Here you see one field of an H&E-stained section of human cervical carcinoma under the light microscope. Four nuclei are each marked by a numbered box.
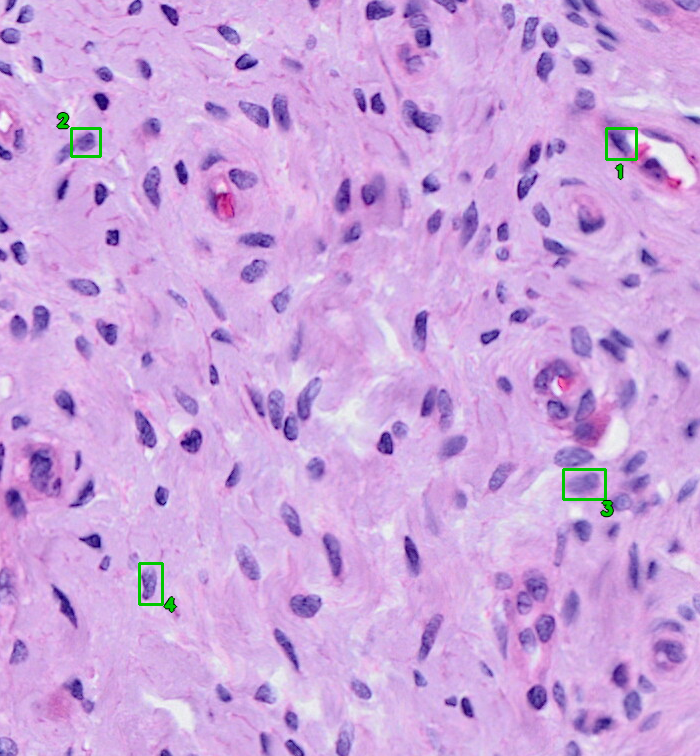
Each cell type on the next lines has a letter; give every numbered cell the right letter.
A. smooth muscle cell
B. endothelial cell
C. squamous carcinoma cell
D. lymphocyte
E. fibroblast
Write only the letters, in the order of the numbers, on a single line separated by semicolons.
B; E; E; E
